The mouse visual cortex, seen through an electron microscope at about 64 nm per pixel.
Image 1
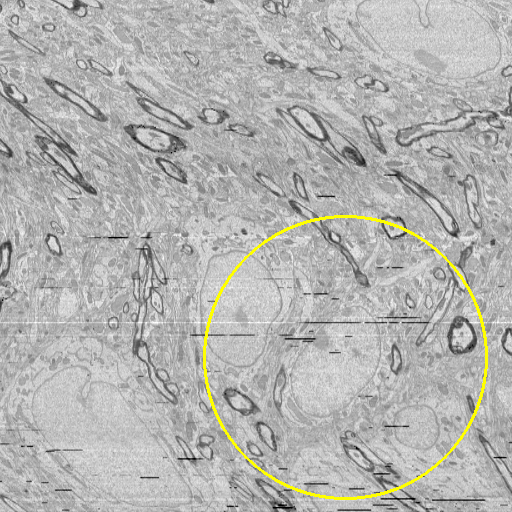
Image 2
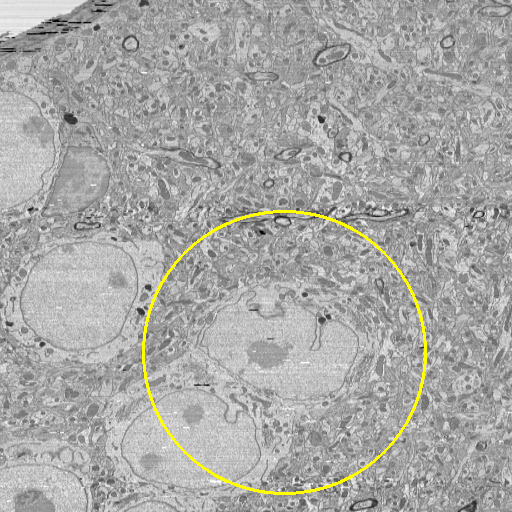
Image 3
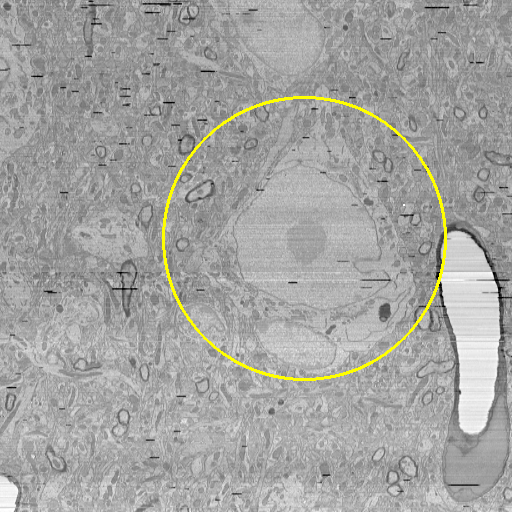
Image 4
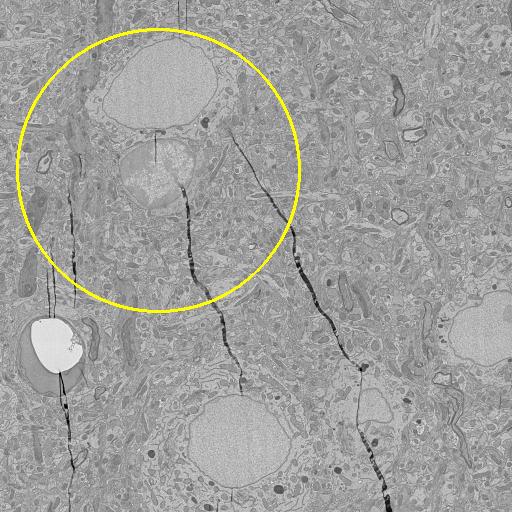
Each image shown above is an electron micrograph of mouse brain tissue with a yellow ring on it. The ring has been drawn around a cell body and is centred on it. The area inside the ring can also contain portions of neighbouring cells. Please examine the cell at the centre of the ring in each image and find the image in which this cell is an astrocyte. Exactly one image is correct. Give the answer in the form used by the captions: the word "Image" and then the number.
Image 1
